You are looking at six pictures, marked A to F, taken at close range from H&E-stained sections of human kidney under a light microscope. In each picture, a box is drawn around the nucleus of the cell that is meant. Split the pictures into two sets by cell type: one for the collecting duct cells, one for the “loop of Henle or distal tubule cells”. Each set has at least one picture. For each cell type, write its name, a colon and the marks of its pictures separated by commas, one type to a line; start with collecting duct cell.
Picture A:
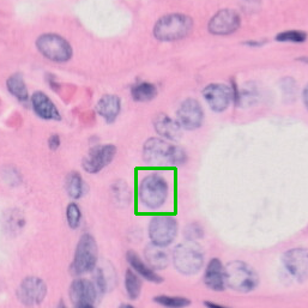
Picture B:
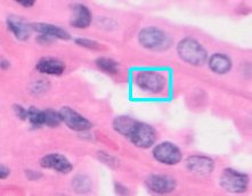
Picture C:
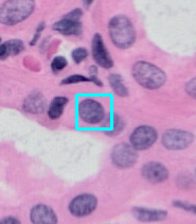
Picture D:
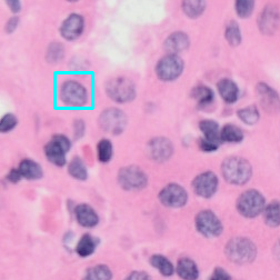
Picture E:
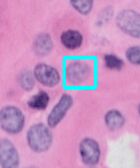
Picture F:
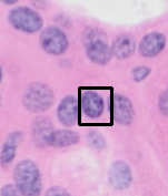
collecting duct cell: A, C, E, F
loop of Henle or distal tubule cell: B, D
